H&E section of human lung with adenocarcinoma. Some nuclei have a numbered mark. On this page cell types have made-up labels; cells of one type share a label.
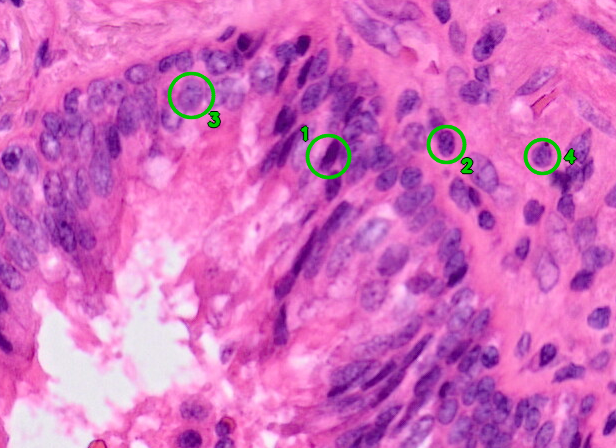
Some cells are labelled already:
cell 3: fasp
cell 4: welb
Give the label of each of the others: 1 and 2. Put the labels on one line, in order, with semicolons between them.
fasp; welb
